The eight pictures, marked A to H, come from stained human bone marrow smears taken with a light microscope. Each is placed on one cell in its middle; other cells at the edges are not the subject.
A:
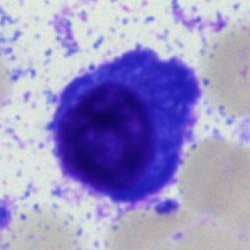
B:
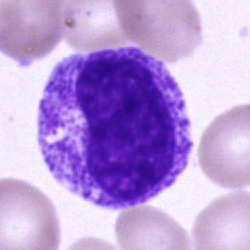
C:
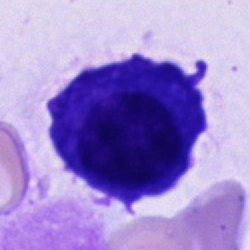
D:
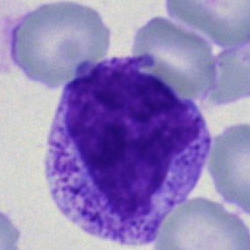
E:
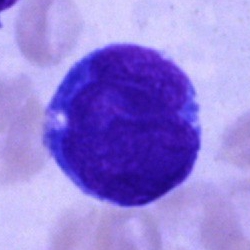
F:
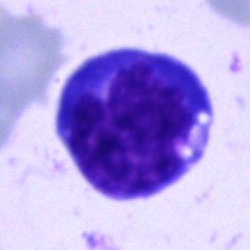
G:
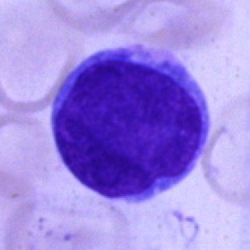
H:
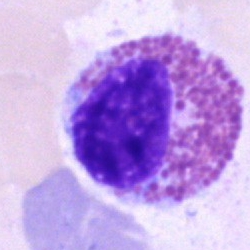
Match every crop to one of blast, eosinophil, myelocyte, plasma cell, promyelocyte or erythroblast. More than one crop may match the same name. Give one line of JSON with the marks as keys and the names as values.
{"A": "plasma cell", "B": "myelocyte", "C": "plasma cell", "D": "myelocyte", "E": "blast", "F": "blast", "G": "blast", "H": "eosinophil"}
